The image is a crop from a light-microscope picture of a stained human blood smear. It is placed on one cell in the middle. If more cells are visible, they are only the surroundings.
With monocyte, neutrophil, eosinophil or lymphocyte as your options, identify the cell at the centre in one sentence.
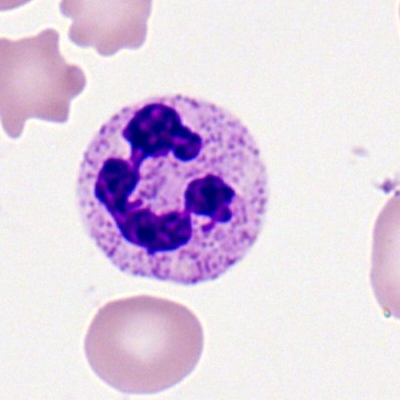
The cell positioned in the middle of the field is a neutrophil.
